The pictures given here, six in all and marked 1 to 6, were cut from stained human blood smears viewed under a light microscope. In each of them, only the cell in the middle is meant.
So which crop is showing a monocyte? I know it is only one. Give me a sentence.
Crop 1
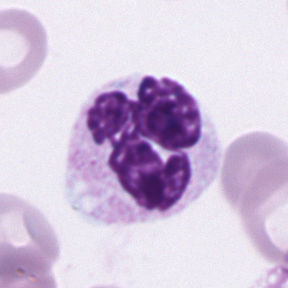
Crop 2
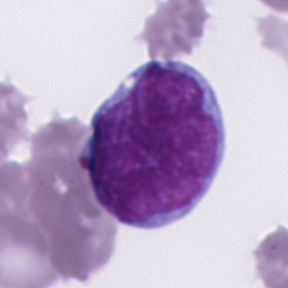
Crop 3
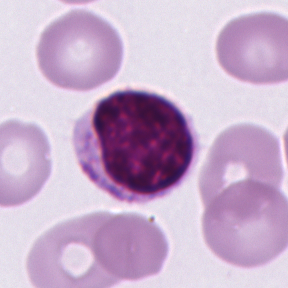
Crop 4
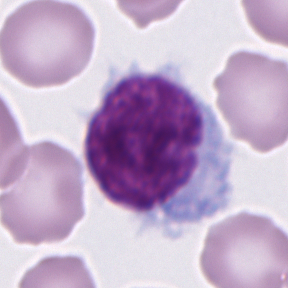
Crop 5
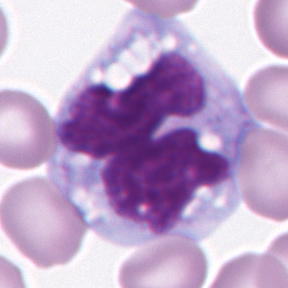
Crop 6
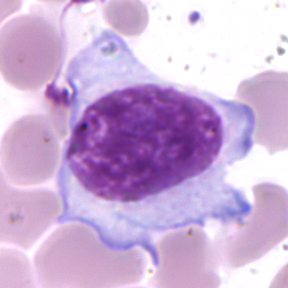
The correct choice is crop 5, the one showing a monocyte.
